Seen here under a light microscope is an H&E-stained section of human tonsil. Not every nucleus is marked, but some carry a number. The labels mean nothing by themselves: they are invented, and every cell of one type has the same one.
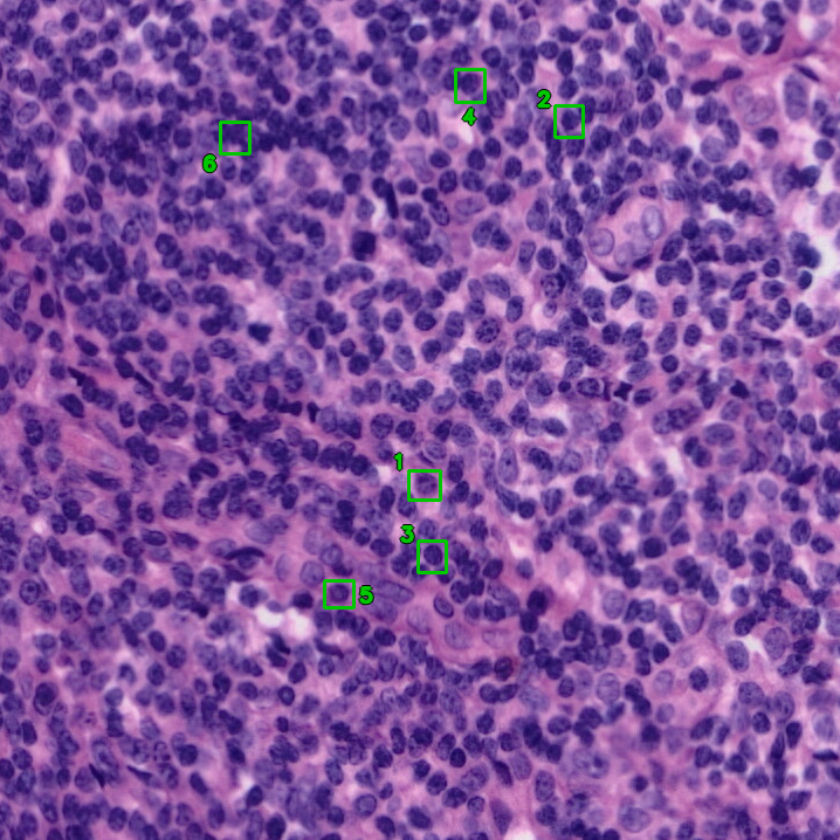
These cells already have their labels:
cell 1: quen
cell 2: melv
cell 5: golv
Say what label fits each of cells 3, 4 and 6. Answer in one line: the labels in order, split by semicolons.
melv; melv; melv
